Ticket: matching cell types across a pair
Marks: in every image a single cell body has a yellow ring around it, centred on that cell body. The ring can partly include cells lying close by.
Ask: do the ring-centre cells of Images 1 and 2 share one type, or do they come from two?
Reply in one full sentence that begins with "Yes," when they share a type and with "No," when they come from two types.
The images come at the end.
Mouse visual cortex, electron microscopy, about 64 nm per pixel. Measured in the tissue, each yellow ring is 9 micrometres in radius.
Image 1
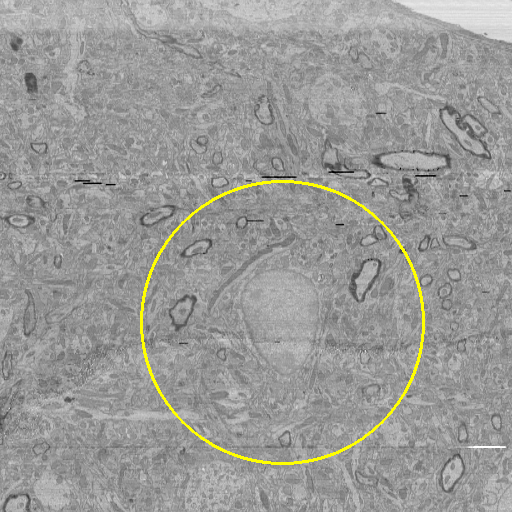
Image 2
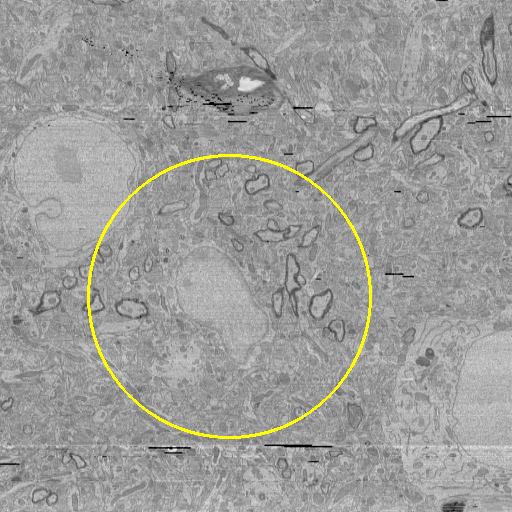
Yes, the cells in the centres of the rings in Image 1 and Image 2 share one type.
